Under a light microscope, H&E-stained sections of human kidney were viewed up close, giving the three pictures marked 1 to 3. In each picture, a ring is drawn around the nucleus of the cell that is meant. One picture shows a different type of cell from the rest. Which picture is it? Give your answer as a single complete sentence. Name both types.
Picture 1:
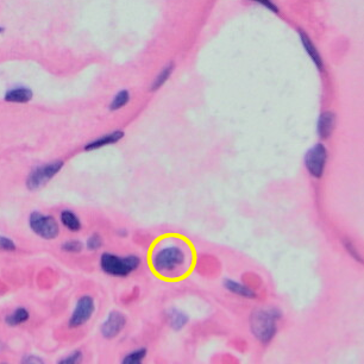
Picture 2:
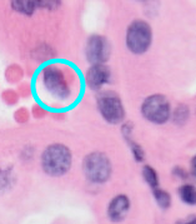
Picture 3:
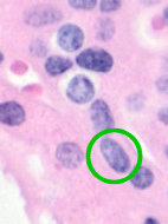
The different one is picture 3; it shows a collecting duct cell, whereas all the others show endothelial cells.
